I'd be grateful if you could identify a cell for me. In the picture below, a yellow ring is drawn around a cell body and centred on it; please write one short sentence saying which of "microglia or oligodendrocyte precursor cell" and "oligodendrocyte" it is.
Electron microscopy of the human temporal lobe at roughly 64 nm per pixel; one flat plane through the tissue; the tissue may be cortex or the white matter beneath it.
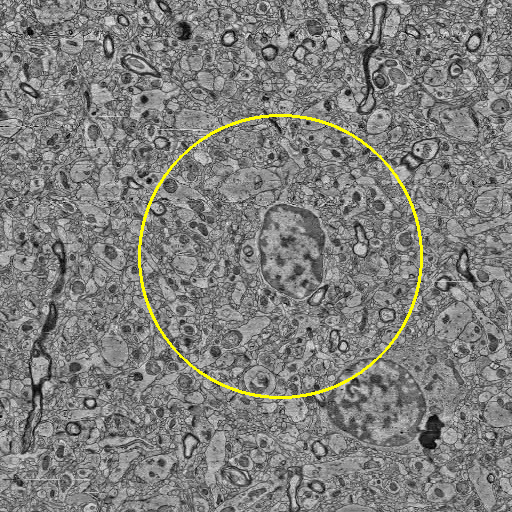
The cell under the ring's centre is a microglial cell or oligodendrocyte precursor cell.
